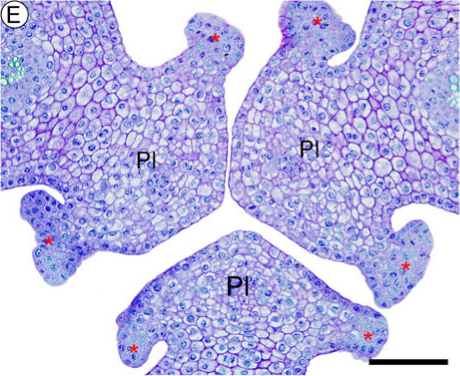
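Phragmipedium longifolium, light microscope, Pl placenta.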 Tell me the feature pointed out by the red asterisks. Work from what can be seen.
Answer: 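Egg‐bearing regions. Asterisks sit on curved lobes at the lateral tips of each of the three placentae. The lobes are made of small, densely stained cells.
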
